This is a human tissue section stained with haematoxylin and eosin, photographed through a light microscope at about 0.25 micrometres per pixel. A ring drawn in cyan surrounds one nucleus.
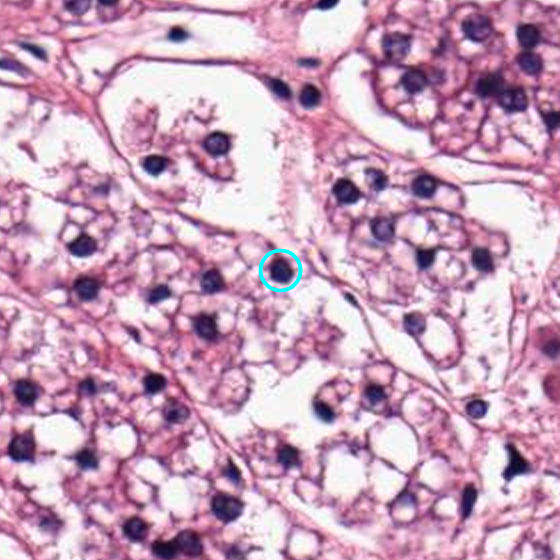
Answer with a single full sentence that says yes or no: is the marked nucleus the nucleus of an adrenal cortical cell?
Yes, the marked nucleus is one that belongs to an adrenal cortical cell.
